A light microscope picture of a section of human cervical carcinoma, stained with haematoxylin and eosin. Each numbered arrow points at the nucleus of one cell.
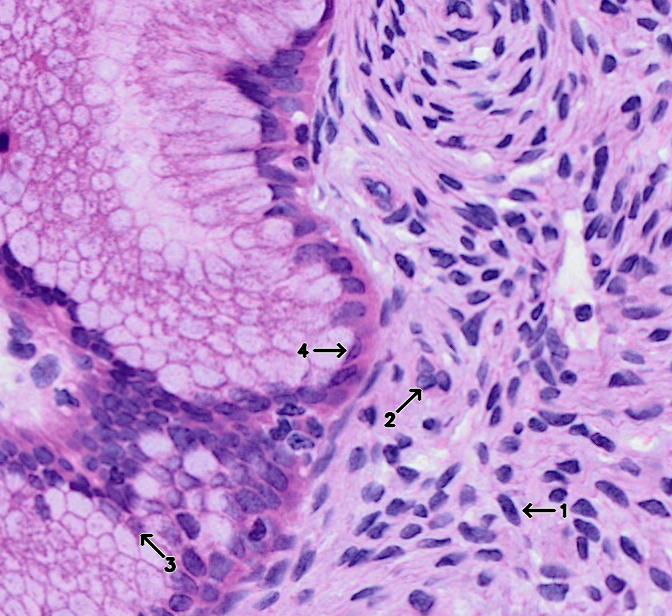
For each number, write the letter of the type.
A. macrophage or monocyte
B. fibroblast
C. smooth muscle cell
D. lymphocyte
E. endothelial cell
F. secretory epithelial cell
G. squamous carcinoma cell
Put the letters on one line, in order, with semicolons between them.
B; E; F; F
